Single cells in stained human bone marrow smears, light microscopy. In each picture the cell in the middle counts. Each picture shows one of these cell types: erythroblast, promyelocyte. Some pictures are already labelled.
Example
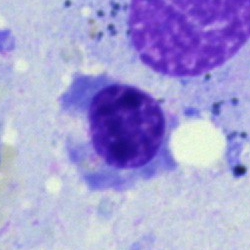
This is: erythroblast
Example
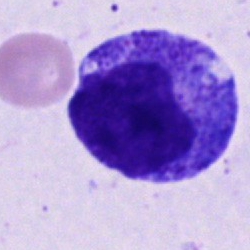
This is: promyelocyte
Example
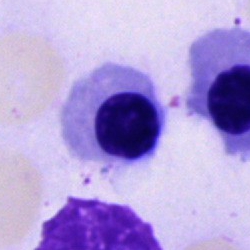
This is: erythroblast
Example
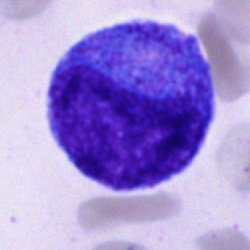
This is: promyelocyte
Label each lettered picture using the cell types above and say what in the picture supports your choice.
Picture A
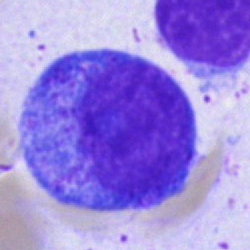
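promyelocyte: The chromatin is finely textured rather than coarsely clumped.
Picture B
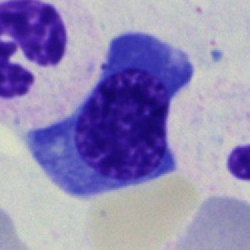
erythroblast: The chromatin is coarse and clumped, with lighter gaps between the clumps.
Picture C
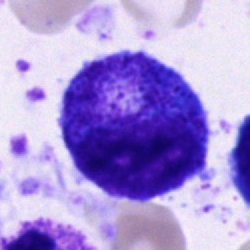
promyelocyte: The granules hide the nucleus so that its outline cannot be traced.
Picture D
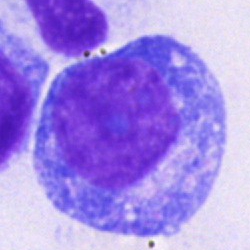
promyelocyte: The chromatin is fine and evenly spread rather than clumped into coarse blocks.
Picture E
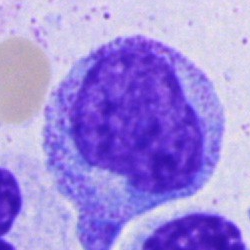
promyelocyte: Many fine purple granules are scattered through the cytoplasm.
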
